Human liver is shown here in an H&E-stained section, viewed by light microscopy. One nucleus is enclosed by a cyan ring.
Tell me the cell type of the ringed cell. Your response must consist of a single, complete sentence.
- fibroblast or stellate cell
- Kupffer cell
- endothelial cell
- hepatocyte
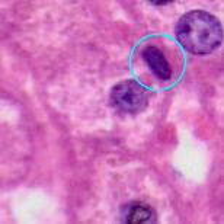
By cell type, the ringed cell is a fibroblast or stellate cell.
